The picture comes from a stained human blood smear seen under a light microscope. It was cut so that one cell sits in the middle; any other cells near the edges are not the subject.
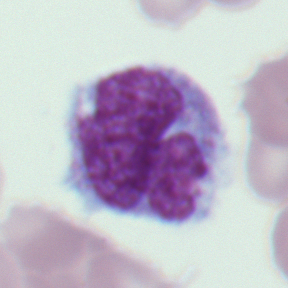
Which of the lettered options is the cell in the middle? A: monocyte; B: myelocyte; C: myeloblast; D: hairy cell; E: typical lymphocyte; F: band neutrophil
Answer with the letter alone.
A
